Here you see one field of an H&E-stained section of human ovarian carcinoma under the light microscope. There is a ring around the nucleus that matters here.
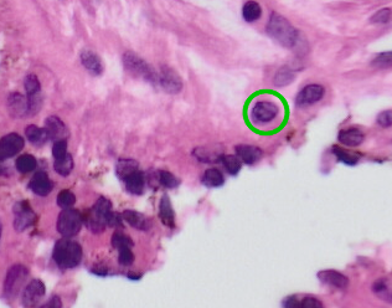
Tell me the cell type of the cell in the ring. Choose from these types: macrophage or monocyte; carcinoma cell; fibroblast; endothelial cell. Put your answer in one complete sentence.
The expected answer is simply that the cell in the ring is a macrophage or monocyte.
